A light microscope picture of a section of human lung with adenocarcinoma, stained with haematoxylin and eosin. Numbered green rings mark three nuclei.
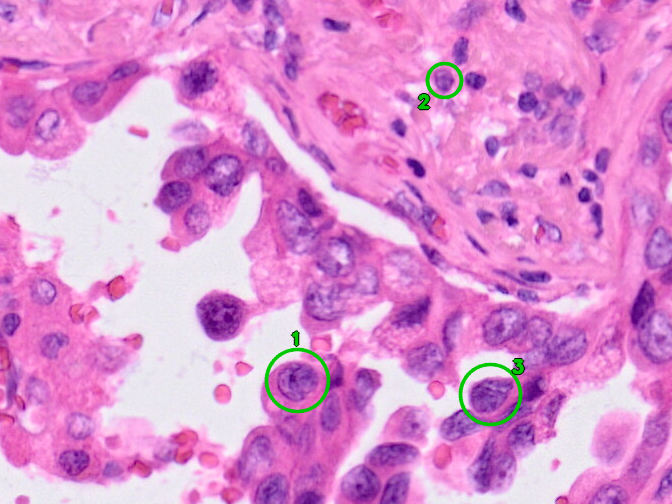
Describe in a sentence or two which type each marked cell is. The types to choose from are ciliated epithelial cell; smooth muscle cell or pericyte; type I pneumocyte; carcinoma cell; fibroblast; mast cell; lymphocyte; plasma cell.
Cells 1 and 3 are carcinoma cells. Cell 2 is a lymphocyte.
